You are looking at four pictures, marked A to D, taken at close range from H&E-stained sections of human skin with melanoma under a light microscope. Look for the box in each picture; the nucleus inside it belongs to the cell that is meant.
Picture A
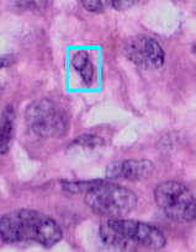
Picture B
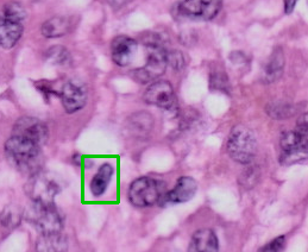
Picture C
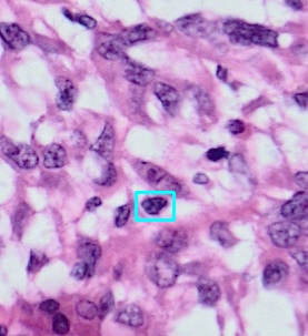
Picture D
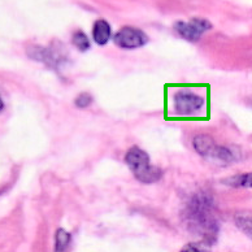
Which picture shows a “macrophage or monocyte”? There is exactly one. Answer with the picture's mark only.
A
